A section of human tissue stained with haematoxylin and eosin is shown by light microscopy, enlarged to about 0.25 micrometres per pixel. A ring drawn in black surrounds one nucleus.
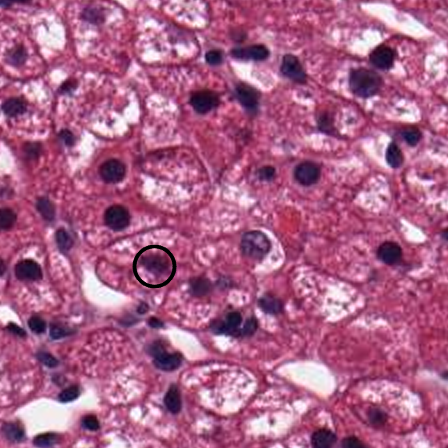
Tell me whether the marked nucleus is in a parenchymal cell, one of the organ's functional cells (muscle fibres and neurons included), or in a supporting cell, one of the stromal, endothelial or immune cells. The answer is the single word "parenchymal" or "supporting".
parenchymal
